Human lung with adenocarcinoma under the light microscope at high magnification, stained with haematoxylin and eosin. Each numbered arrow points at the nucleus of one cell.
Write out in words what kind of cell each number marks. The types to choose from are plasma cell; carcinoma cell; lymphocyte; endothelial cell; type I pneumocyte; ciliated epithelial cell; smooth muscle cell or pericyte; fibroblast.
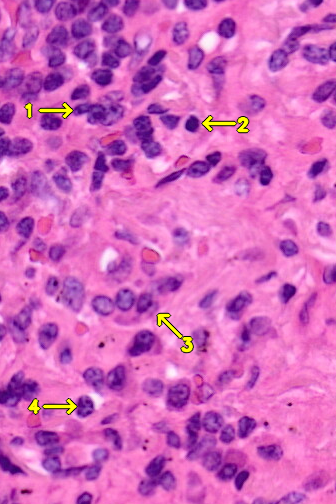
Cells 1, 2 and 4 are lymphocytes. Cell 3 is a plasma cell.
